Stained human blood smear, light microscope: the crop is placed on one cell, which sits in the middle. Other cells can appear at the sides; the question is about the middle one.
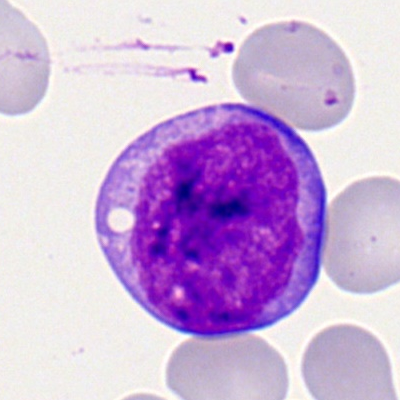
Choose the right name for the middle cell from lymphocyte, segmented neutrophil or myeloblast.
myeloblast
